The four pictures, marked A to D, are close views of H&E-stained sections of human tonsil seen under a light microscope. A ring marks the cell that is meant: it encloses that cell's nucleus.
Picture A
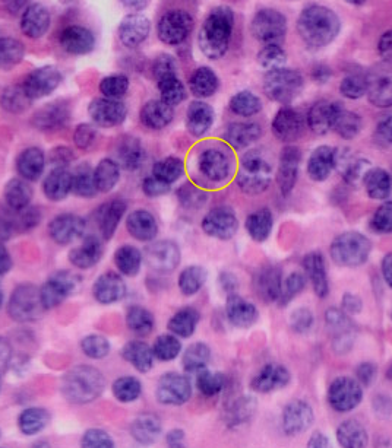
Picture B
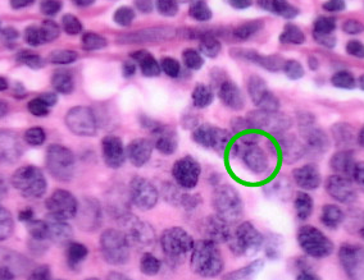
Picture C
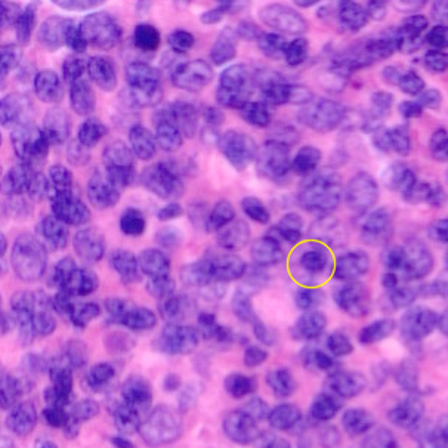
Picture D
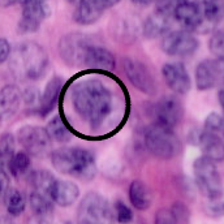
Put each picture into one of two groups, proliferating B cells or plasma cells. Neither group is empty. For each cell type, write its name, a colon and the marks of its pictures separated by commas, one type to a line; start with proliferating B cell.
proliferating B cell: B, C, D
plasma cell: A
